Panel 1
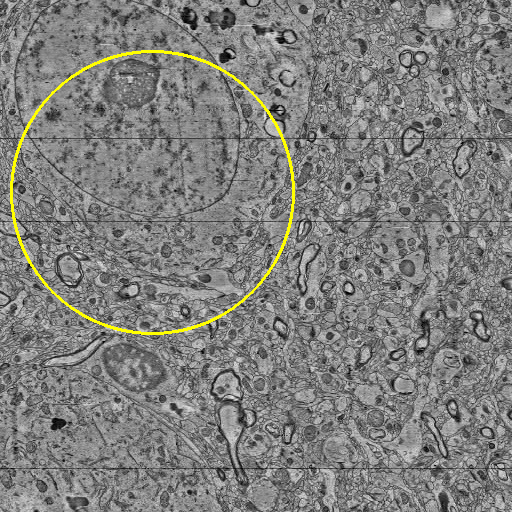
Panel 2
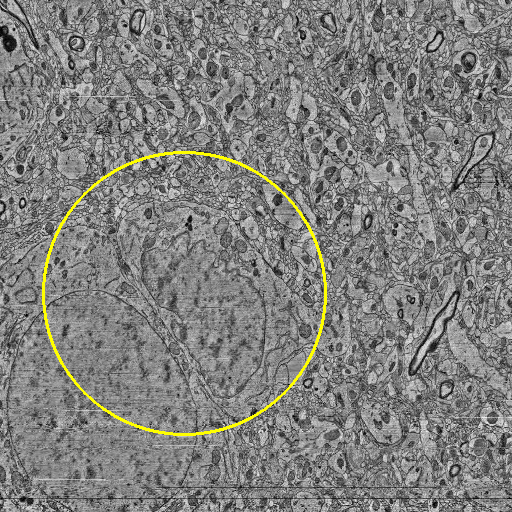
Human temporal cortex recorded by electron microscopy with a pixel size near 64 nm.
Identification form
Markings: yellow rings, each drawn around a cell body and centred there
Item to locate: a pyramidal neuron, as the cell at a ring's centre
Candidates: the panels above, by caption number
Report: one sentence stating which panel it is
It is Panel 1.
